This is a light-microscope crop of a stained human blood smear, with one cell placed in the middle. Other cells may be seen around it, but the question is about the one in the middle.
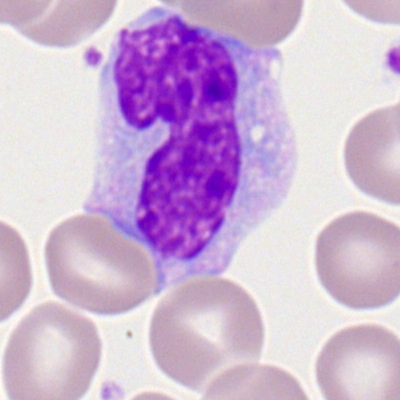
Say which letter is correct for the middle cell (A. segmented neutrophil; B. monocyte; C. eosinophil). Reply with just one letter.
B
